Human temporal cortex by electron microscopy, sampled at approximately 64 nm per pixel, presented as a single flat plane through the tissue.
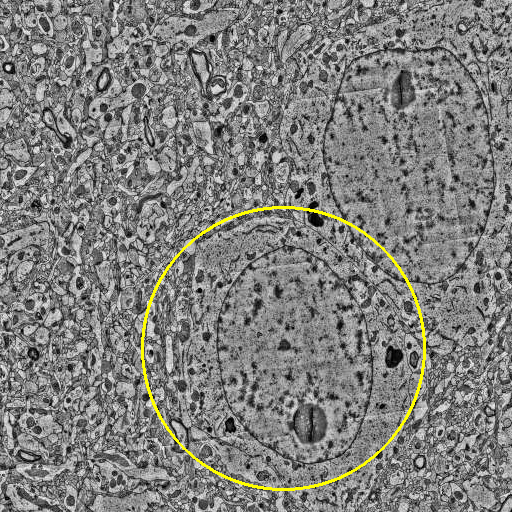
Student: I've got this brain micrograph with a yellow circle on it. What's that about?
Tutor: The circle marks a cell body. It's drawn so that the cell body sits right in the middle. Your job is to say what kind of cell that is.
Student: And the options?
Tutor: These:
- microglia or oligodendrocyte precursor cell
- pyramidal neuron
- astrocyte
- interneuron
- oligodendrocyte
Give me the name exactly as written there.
pyramidal neuron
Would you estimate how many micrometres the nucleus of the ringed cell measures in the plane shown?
The nucleus is approximately 14 micrometers long by 10 micrometers wide in this plane.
